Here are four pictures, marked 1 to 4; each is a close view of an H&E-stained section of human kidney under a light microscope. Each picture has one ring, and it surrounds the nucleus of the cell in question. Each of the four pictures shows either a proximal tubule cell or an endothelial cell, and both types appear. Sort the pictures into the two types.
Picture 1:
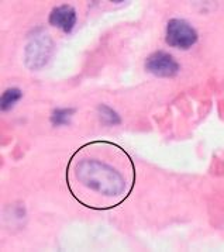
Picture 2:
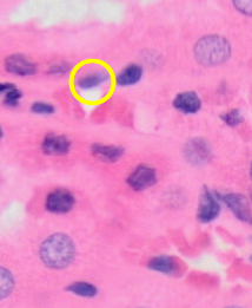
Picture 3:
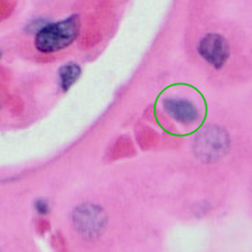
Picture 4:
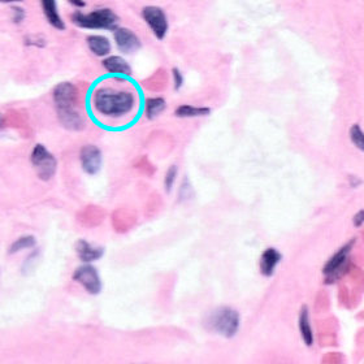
1: proximal tubule cell
2: endothelial cell
3: endothelial cell
4: endothelial cell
